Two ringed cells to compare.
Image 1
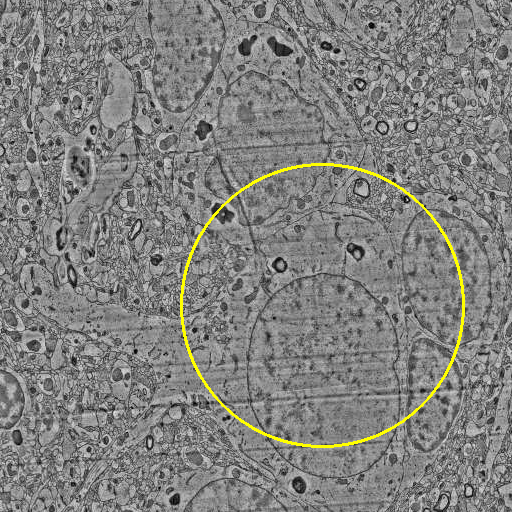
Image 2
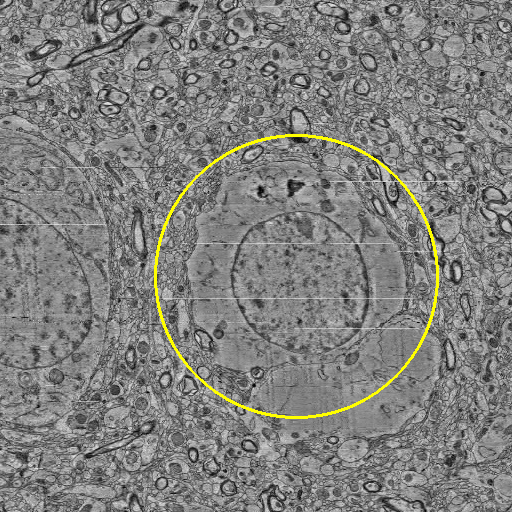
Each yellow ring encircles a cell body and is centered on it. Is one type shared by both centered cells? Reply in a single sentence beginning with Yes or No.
No, two types are found among the cells at the centers of the rings.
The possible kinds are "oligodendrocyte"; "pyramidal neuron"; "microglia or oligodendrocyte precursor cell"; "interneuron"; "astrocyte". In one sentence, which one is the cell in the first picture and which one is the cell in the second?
The cell ringed in the second picture is an astrocyte, whereas the one ringed in the first is a pyramidal neuron.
